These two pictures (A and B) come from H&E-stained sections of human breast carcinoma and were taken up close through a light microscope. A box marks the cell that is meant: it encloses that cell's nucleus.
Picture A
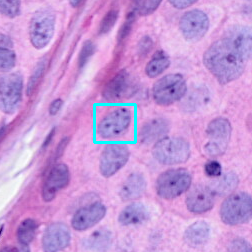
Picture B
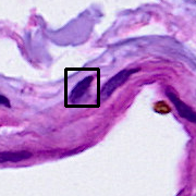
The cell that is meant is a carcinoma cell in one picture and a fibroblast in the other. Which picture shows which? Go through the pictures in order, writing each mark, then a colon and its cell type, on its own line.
A: carcinoma cell
B: fibroblast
